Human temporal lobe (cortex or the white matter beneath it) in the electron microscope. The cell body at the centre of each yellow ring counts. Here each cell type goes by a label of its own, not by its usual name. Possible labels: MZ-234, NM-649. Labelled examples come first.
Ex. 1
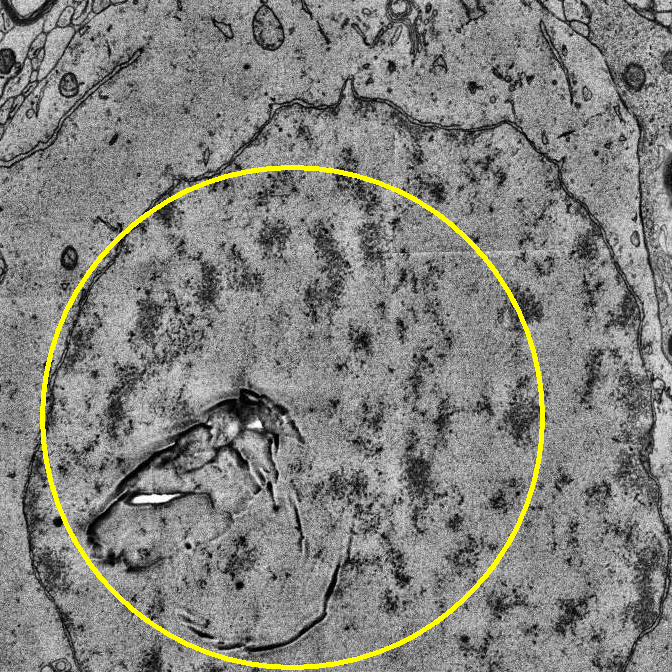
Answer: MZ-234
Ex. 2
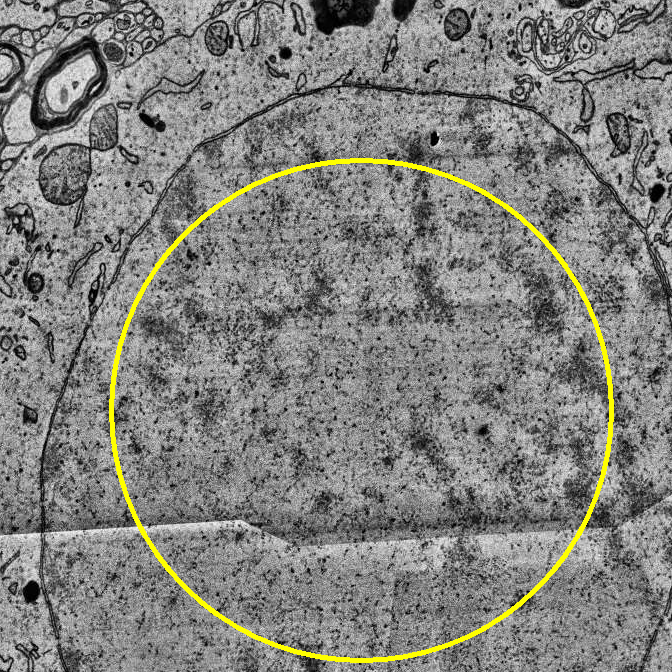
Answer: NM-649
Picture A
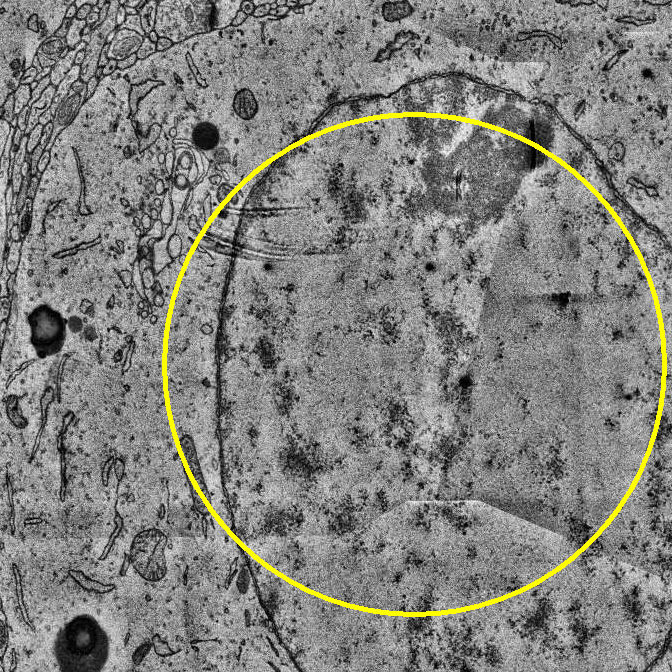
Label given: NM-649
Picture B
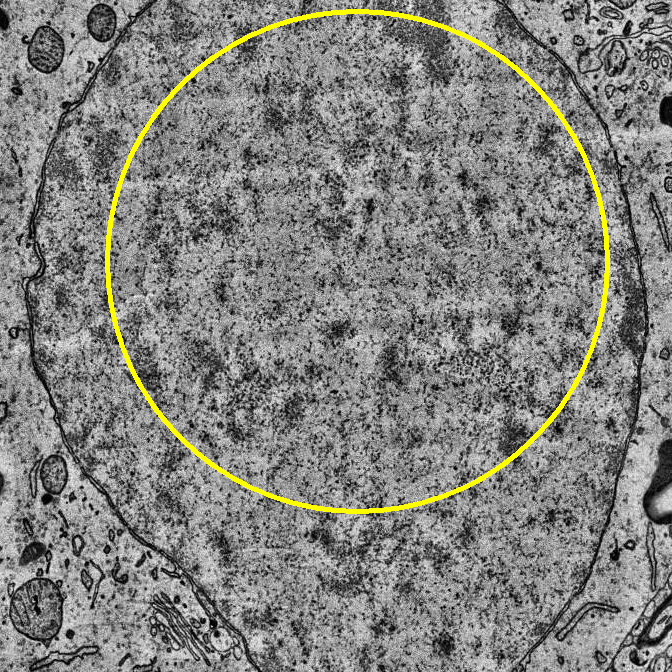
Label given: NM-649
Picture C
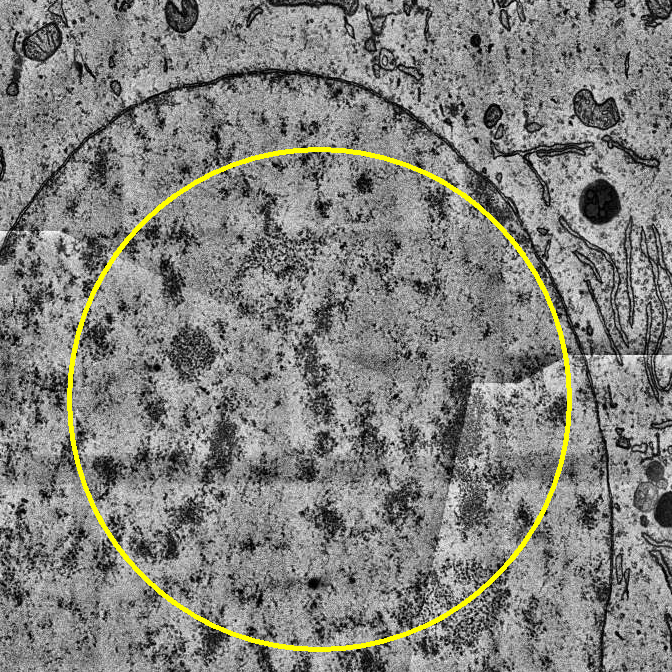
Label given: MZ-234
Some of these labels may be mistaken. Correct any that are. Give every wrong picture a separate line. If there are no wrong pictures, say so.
C: not MZ-234 but NM-649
